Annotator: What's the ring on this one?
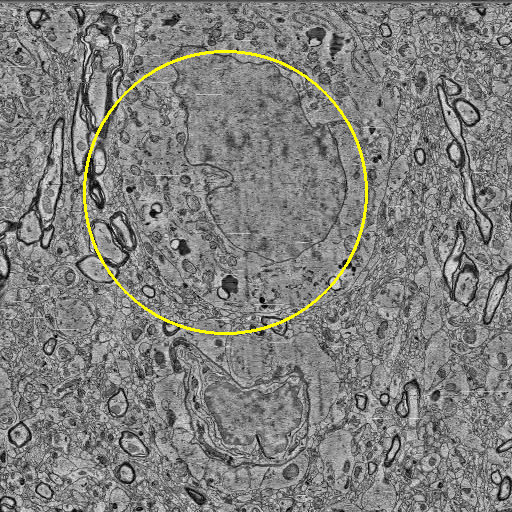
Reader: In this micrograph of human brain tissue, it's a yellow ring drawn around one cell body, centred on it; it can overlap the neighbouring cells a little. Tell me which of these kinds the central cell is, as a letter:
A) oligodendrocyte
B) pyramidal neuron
B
